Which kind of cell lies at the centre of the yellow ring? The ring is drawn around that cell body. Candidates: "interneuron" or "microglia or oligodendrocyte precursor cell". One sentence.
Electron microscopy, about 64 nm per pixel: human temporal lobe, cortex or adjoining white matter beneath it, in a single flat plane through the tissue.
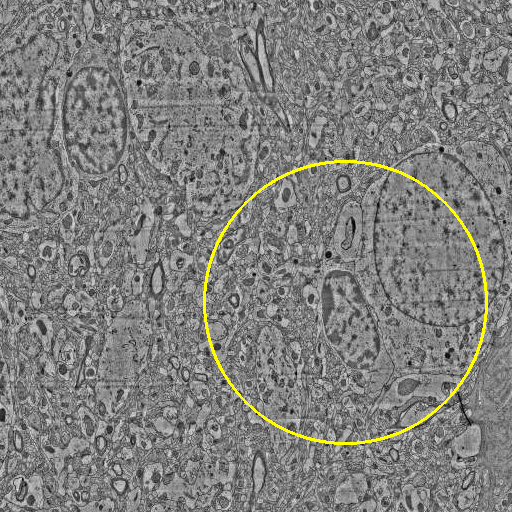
Lying at the centre of the ring is a microglial cell or oligodendrocyte precursor cell.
